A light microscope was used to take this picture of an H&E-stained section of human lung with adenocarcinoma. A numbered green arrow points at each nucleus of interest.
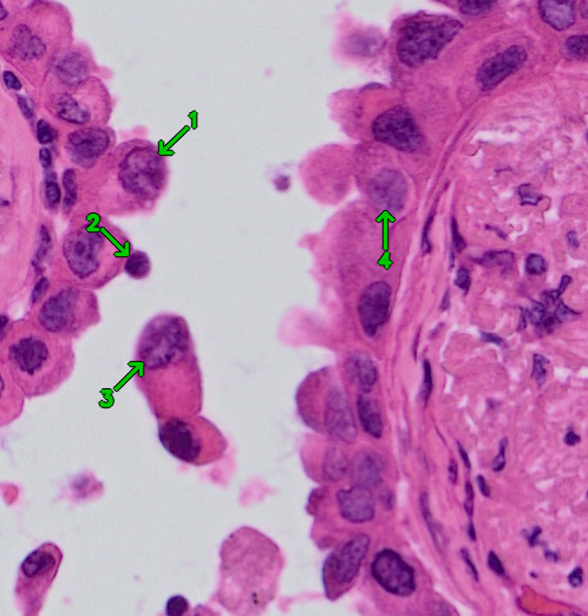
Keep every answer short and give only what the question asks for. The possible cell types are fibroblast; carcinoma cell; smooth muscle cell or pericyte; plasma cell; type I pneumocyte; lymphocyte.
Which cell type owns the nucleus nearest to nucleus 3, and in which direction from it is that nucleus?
a lymphocyte, above nucleus 3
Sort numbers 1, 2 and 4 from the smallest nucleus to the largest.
2, 4, 1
